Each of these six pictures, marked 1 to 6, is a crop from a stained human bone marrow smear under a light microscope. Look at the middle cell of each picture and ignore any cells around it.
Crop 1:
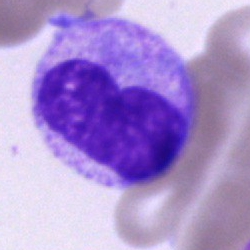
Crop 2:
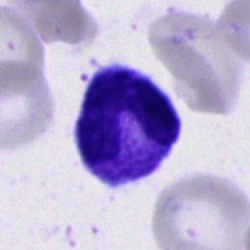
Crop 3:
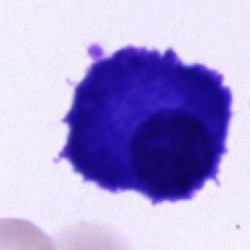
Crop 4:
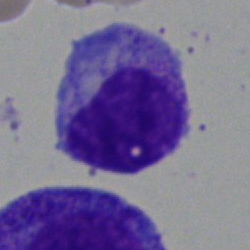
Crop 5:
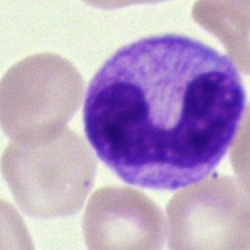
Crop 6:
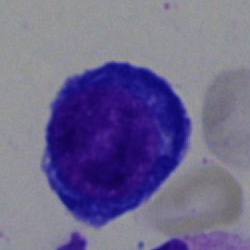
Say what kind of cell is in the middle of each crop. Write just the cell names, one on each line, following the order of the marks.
metamyelocyte
band neutrophil
plasma cell
myelocyte
band neutrophil
proerythroblast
